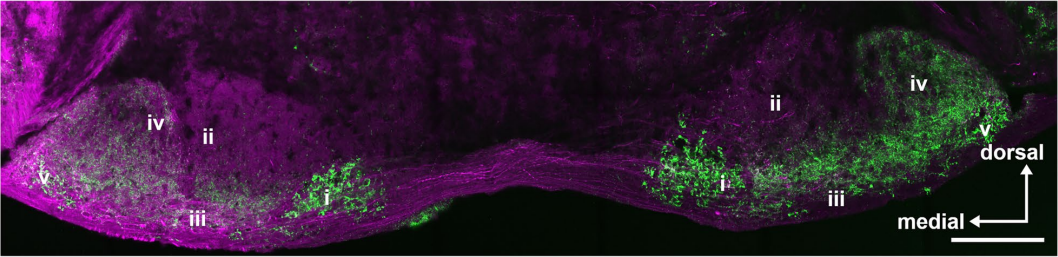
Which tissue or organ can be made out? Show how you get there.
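Ventral brainstem. A band of fibres runs horizontally along the ventral edge across the midline.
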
